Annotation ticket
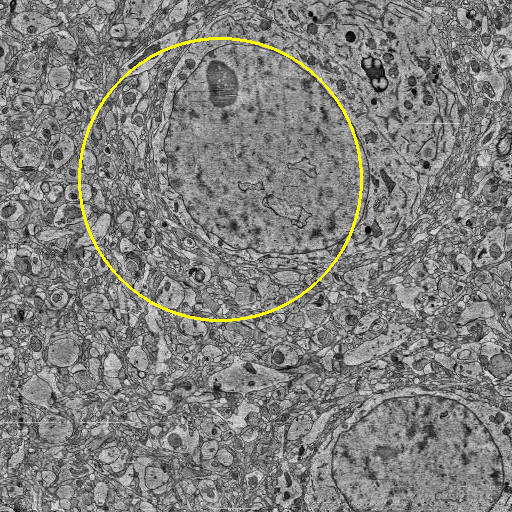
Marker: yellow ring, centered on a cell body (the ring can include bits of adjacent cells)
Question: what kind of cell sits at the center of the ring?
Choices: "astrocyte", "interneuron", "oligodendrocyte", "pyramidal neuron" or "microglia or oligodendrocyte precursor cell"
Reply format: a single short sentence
The ring is centered on a pyramidal neuron.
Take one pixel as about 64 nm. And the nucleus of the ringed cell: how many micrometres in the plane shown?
Roughly 15 micrometres by 12 micrometres, in this plane.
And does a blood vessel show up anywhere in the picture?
No, there is none.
